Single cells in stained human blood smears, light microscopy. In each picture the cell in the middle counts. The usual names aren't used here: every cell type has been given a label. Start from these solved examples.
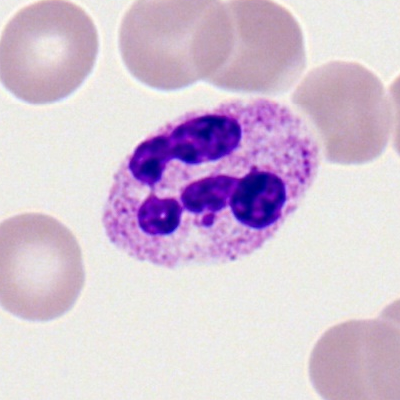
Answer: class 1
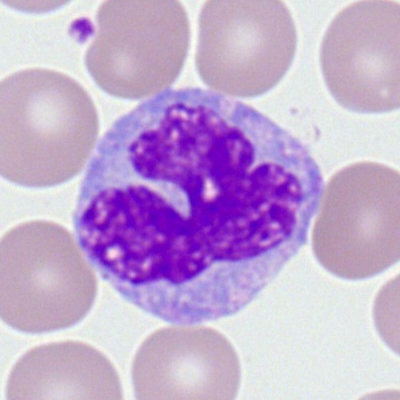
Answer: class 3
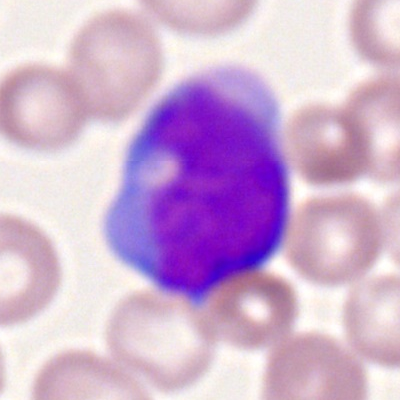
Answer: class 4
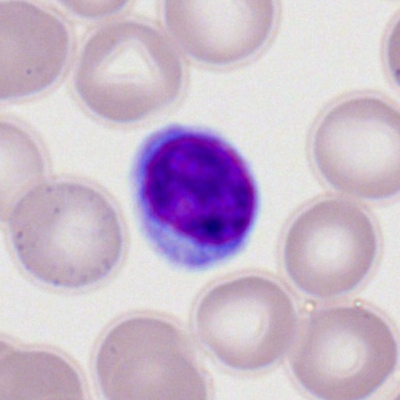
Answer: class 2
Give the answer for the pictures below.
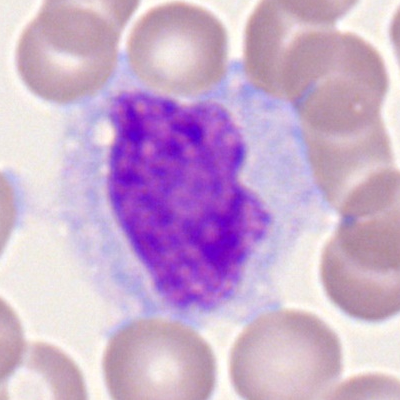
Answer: class 3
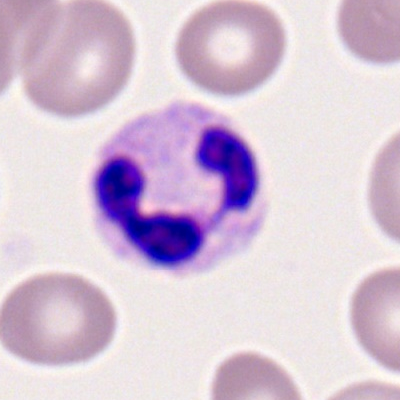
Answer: class 1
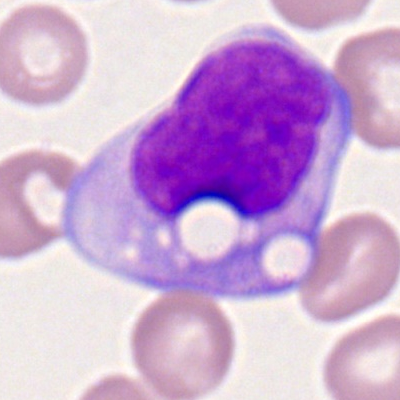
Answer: class 3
